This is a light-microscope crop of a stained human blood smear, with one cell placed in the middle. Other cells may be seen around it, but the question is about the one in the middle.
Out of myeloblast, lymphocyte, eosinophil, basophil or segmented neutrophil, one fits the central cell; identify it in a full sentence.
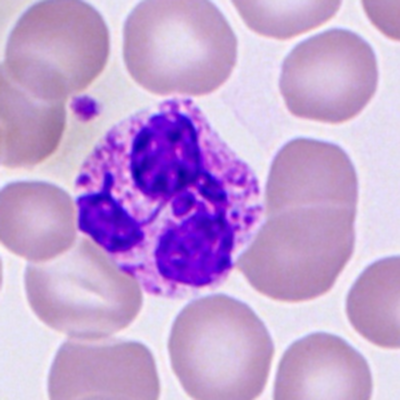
Here the centrally located cell is a basophil.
